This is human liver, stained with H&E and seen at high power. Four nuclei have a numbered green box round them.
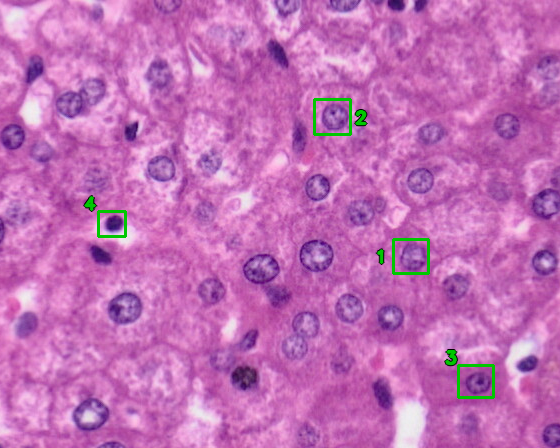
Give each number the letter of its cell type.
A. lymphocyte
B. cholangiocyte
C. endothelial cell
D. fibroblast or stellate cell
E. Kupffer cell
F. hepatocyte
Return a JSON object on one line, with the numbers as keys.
{"1": "F", "2": "F", "3": "F", "4": "A"}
